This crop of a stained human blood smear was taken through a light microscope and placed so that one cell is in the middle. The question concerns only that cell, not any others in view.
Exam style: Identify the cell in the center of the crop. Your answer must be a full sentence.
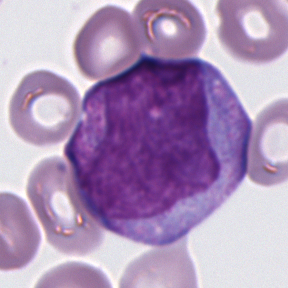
As for the central cell, it is an atypical promyelocyte.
